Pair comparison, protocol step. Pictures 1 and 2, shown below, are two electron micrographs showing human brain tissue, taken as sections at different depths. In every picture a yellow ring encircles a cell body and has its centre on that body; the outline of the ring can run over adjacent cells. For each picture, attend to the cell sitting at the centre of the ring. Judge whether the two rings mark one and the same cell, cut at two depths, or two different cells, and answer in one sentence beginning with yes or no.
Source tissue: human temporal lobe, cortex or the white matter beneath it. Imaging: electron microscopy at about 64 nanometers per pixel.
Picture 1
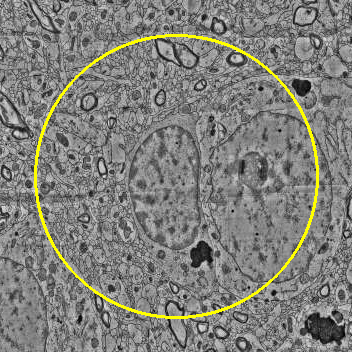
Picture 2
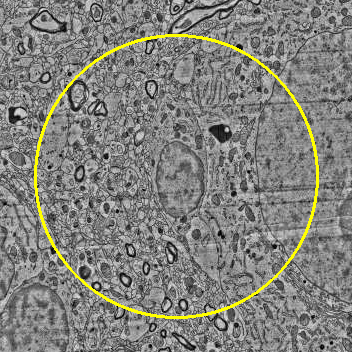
No, the yellow rings are placed on two separate cells.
